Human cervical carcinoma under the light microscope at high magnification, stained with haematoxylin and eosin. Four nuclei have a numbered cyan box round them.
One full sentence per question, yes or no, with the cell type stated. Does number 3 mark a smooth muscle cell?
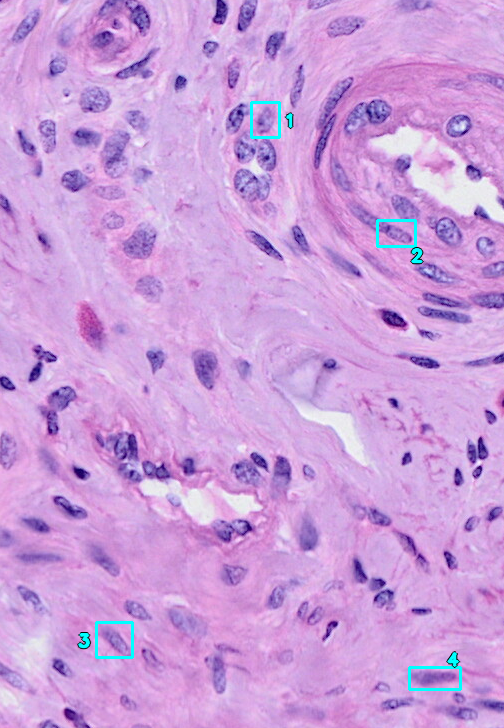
Yes, the cell tagged with the number 3 is a smooth muscle cell.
